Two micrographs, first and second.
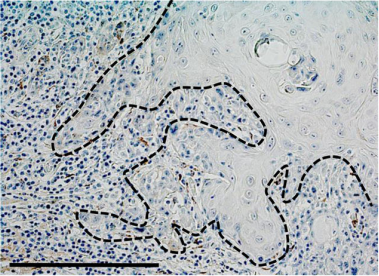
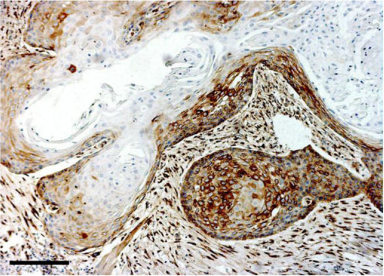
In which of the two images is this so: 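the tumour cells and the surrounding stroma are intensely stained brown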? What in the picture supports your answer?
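First image: the epithelial tumour and stroma are mostly blue and pale, with hardly any brown. Second image: the tumour nests and the spindle-cell stroma around them are deeply brown.
The second image.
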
